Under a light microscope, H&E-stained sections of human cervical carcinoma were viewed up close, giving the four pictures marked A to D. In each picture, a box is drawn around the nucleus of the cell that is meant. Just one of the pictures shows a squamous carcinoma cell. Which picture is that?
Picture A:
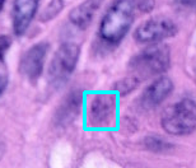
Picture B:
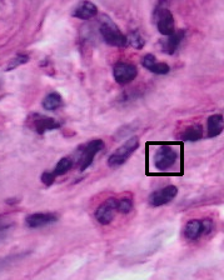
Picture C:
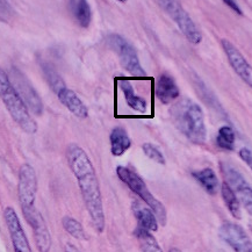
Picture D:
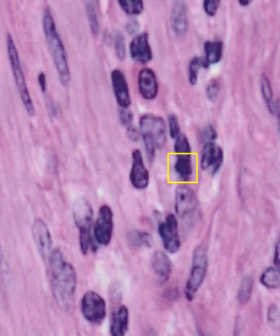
A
